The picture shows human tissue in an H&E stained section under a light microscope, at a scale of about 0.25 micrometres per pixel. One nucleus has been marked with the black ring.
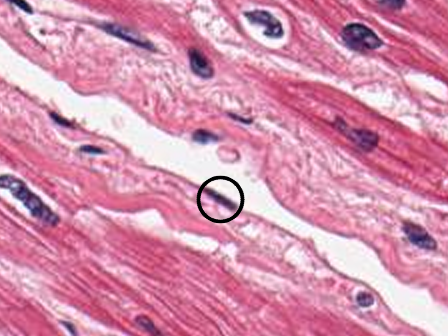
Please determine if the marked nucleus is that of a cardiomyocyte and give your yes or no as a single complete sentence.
No, the marked nucleus is not from a cardiomyocyte; a supporting cell is its source.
